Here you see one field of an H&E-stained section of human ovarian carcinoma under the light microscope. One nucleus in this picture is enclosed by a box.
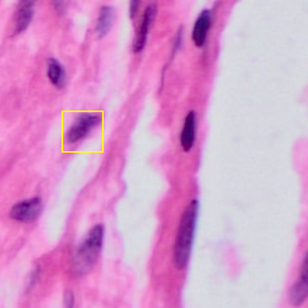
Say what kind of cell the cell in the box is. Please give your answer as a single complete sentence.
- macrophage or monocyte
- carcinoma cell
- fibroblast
As for its identity, the cell in the box is a fibroblast.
